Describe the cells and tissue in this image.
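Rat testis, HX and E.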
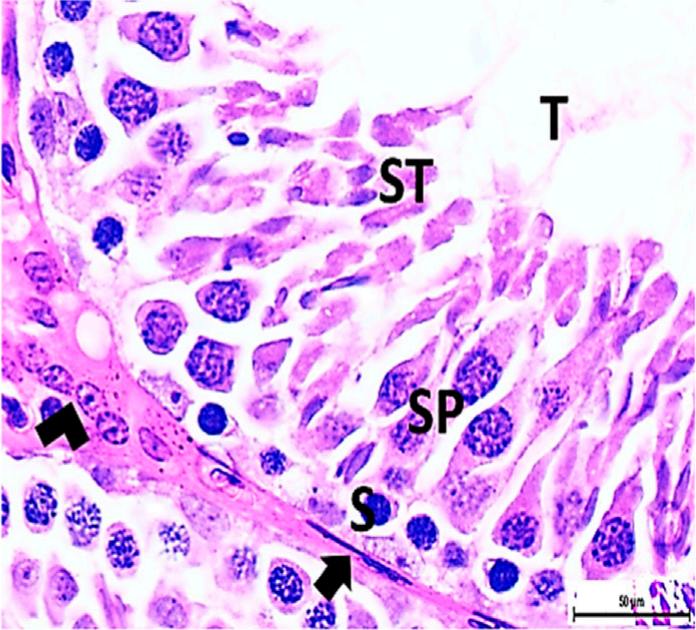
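The wall of a seminiferous tubule runs diagonally, a thin pink line bearing flat dark nuclei, with small round cells with dense dark nuclei resting directly on it. Further inward lie larger round cells with coarse, clumped chromatin, and nearer the pale lumen elongated cells with small condensed nuclei point toward the centre. Outside the tubule, in pink interstitial tissue, sit cells with round pale vesicular nuclei, the interstitial cells of Leydig, beside spermatogonia, spermatocytes and spermatids within the tubule.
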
